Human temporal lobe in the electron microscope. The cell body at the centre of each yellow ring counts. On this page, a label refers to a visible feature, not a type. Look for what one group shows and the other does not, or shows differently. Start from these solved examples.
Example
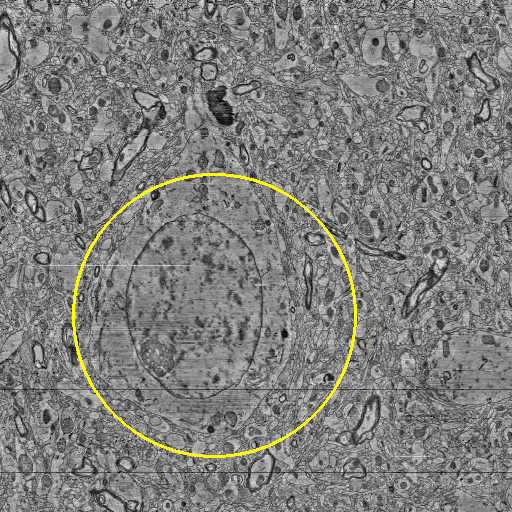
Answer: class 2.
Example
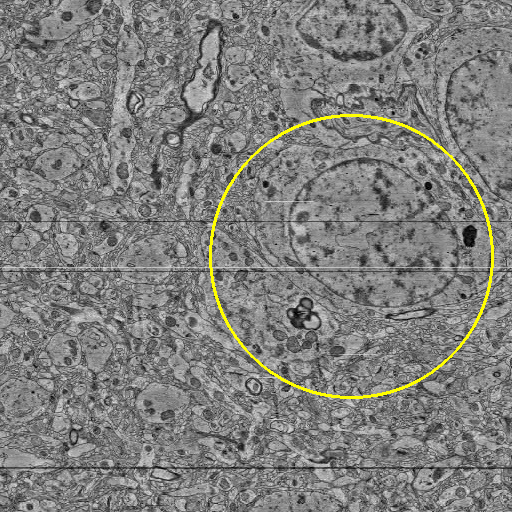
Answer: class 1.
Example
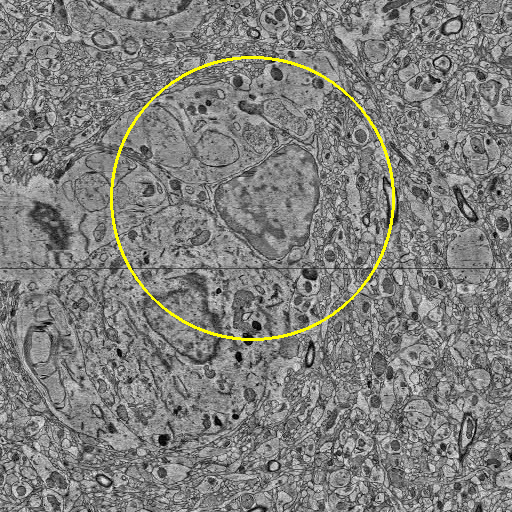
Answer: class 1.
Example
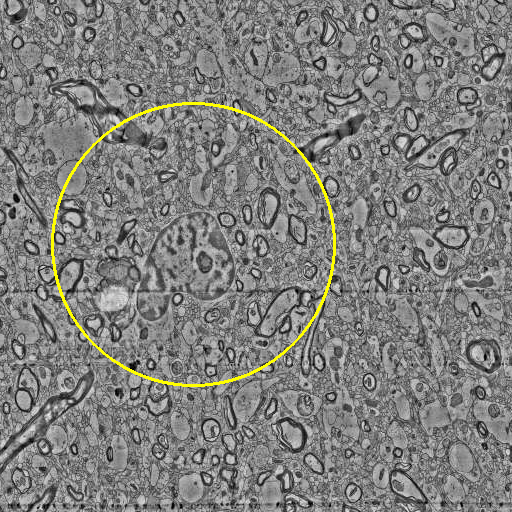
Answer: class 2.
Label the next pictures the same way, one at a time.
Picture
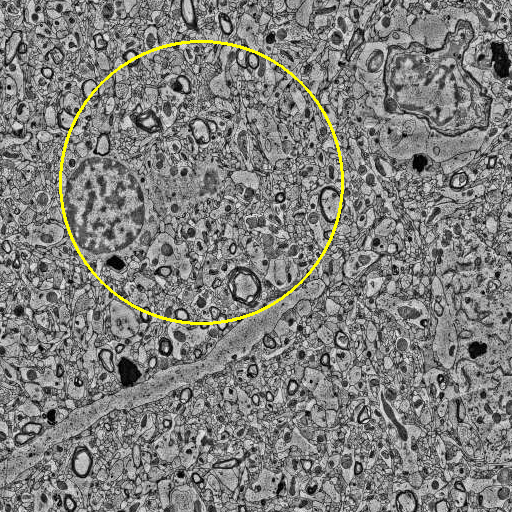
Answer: class 1.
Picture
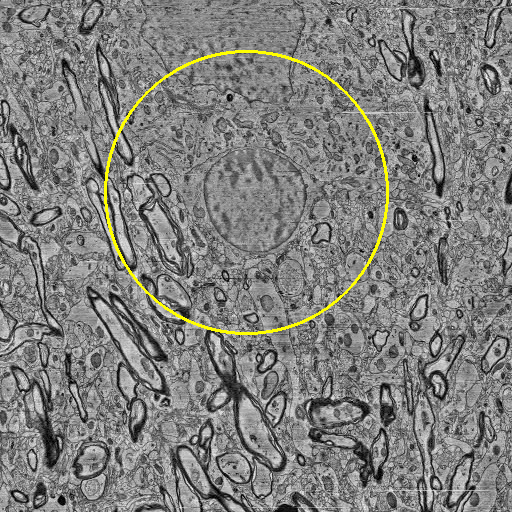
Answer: class 1.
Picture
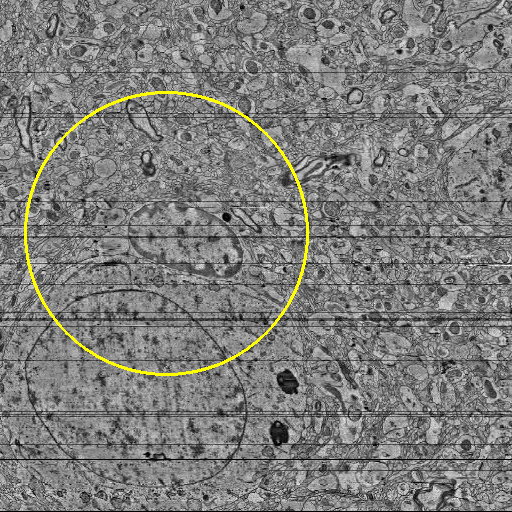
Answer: class 1.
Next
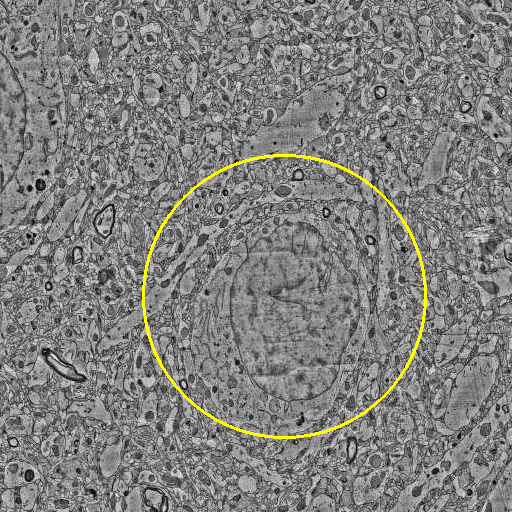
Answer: class 1.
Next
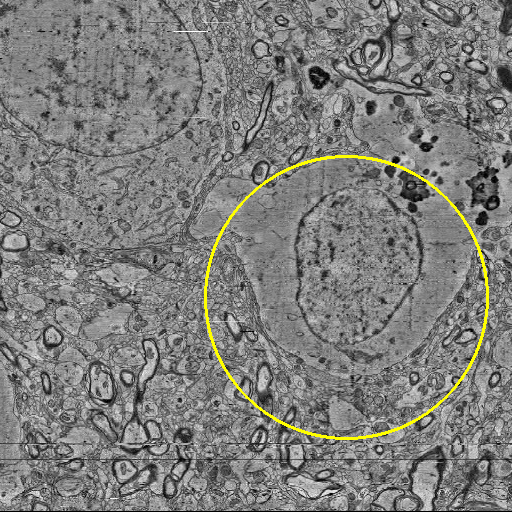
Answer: class 1.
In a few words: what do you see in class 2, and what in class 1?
class 2, nucleolus seen; class 1, no nucleolus seen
